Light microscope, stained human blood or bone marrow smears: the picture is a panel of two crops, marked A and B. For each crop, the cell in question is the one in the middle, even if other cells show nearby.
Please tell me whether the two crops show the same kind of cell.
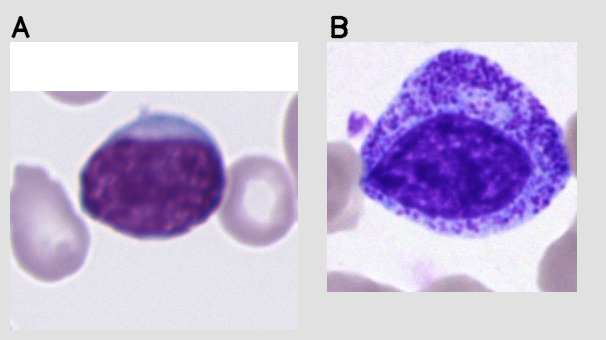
no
